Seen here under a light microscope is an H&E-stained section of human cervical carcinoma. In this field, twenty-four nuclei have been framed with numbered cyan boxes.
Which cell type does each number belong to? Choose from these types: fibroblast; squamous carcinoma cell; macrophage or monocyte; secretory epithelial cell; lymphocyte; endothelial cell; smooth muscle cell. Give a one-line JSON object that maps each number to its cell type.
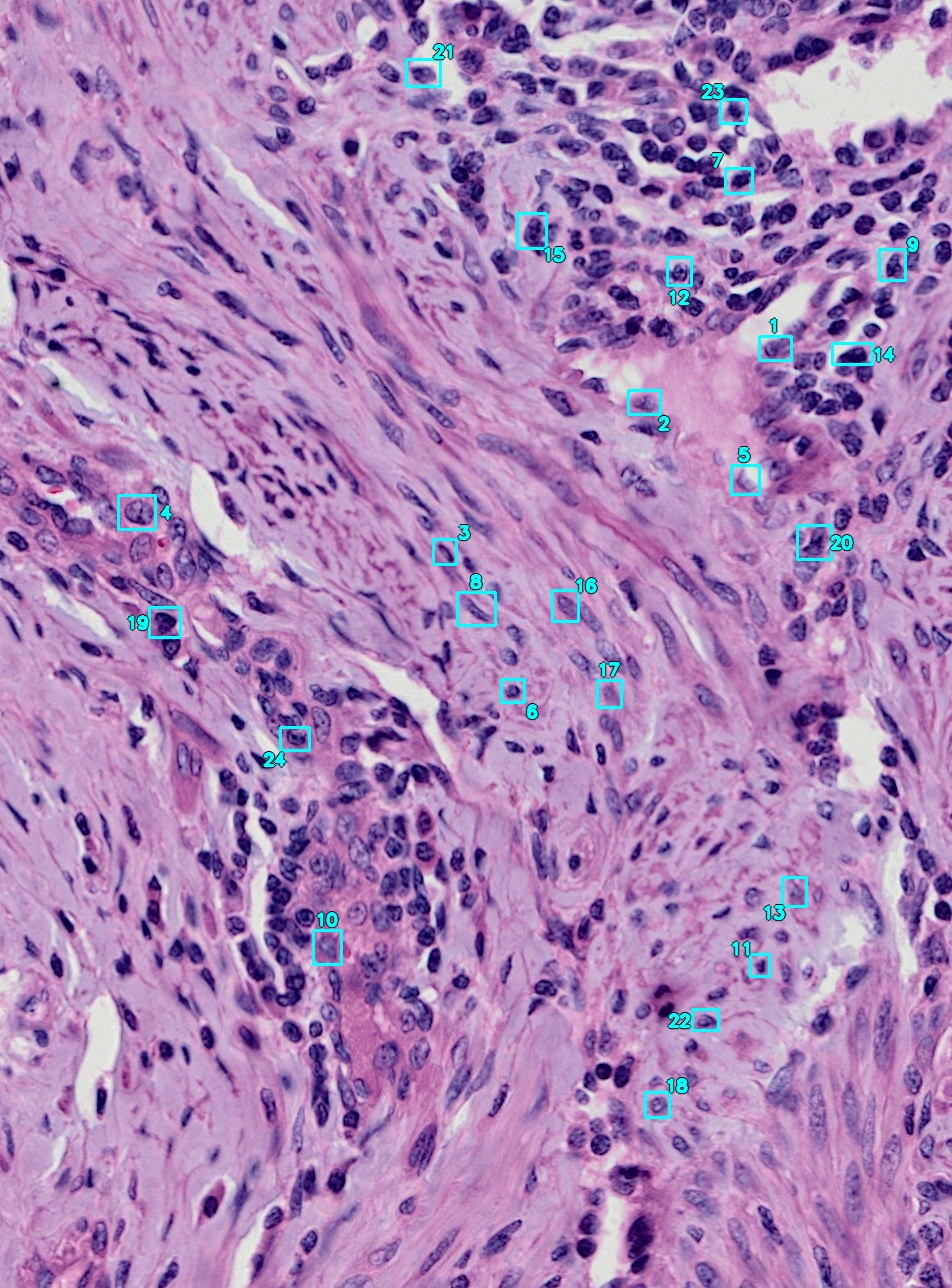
{"1": "endothelial cell", "2": "endothelial cell", "3": "smooth muscle cell", "4": "endothelial cell", "5": "endothelial cell", "6": "smooth muscle cell", "7": "lymphocyte", "8": "smooth muscle cell", "9": "lymphocyte", "10": "endothelial cell", "11": "smooth muscle cell", "12": "lymphocyte", "13": "smooth muscle cell", "14": "lymphocyte", "15": "lymphocyte", "16": "smooth muscle cell", "17": "smooth muscle cell", "18": "smooth muscle cell", "19": "lymphocyte", "20": "lymphocyte", "21": "lymphocyte", "22": "smooth muscle cell", "23": "lymphocyte", "24": "endothelial cell"}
